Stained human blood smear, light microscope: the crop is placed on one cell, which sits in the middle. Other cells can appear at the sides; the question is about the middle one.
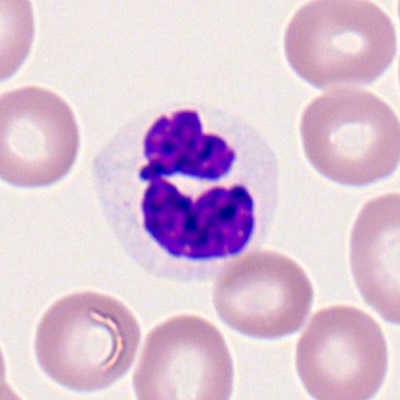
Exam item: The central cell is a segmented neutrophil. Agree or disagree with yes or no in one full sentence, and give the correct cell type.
Yes, the cell in the middle has the identity of a segmented neutrophil.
